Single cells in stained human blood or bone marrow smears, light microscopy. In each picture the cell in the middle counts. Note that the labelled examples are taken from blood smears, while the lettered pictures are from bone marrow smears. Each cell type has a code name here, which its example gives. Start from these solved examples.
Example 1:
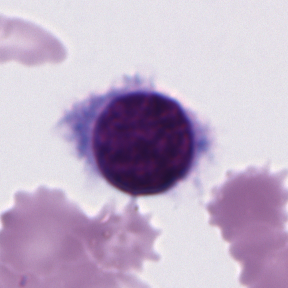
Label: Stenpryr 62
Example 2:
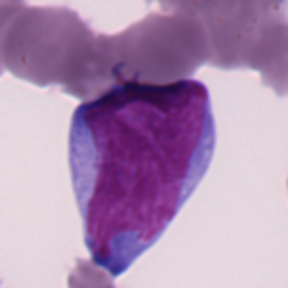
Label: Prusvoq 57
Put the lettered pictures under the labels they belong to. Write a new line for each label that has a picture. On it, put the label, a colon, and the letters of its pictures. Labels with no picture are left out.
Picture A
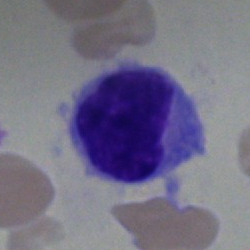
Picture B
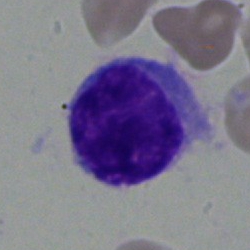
Stenpryr 62: A, B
